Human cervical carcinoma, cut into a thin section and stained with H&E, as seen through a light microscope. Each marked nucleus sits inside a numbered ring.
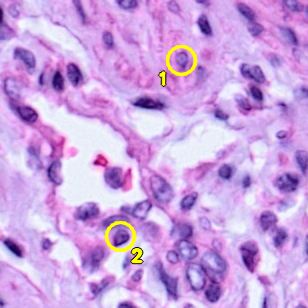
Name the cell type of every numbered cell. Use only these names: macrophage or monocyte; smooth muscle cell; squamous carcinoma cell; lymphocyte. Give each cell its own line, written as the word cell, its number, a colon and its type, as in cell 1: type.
cell 1: smooth muscle cell
cell 2: lymphocyte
